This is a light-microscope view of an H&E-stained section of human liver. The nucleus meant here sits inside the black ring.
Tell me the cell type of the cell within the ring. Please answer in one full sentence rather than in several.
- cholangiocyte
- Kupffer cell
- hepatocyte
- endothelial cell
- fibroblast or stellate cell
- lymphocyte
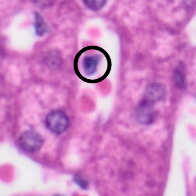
At the level of cell identity, the cell within the ring is a lymphocyte.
